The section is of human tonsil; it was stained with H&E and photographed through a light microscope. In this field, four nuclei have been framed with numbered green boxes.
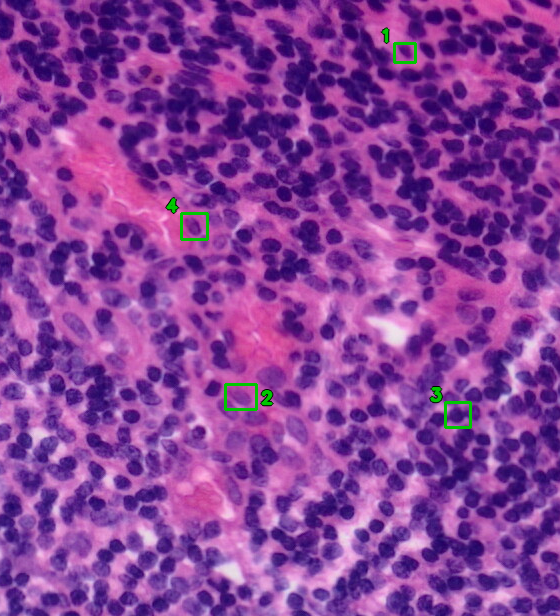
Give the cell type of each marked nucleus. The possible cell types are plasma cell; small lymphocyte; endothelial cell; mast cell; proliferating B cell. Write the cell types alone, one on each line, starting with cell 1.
endothelial cell
endothelial cell
small lymphocyte
endothelial cell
